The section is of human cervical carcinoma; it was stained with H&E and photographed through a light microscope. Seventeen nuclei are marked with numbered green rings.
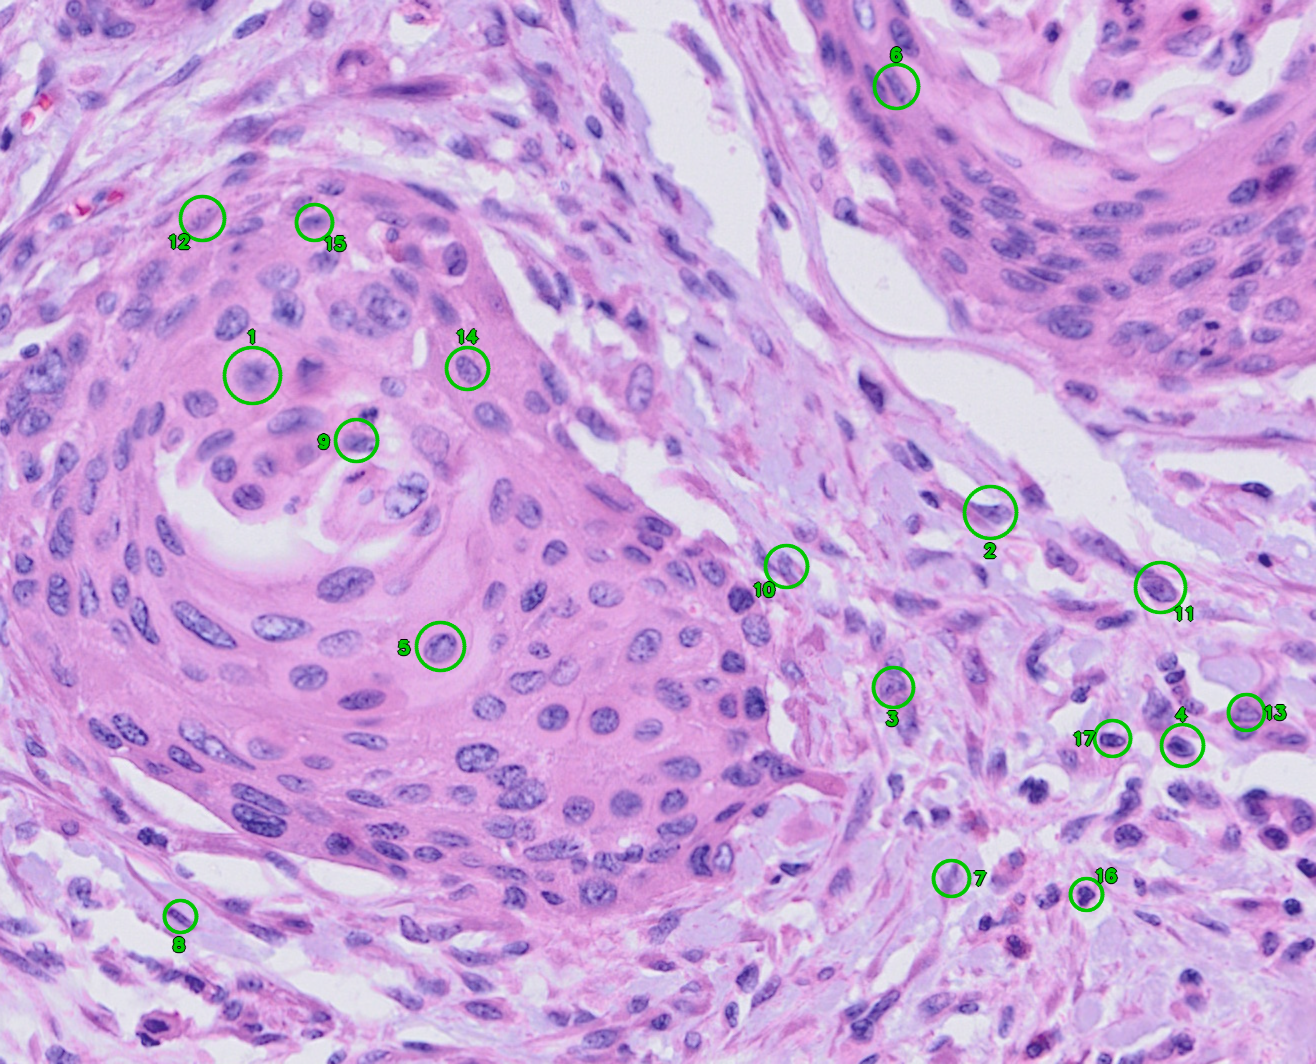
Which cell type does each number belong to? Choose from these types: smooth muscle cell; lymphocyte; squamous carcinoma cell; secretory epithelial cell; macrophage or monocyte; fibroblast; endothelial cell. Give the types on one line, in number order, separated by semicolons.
squamous carcinoma cell; fibroblast; endothelial cell; lymphocyte; squamous carcinoma cell; squamous carcinoma cell; fibroblast; fibroblast; squamous carcinoma cell; fibroblast; macrophage or monocyte; squamous carcinoma cell; endothelial cell; squamous carcinoma cell; squamous carcinoma cell; lymphocyte; lymphocyte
